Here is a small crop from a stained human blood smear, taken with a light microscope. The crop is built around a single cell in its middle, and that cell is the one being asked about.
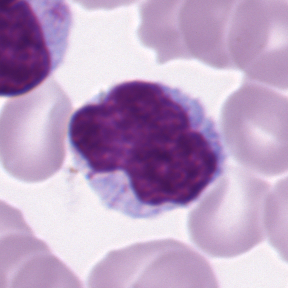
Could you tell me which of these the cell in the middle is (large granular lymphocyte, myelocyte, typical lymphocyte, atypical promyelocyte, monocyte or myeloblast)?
typical lymphocyte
